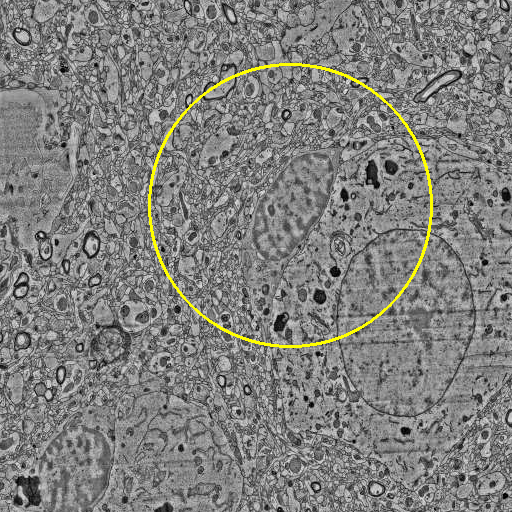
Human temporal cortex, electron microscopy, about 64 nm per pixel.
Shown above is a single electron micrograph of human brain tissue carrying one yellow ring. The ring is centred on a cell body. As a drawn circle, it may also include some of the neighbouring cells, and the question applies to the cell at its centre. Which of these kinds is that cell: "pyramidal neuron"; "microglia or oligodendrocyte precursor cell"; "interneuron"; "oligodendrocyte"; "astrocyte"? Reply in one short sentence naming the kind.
The cell marked by the ring is an oligodendrocyte.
